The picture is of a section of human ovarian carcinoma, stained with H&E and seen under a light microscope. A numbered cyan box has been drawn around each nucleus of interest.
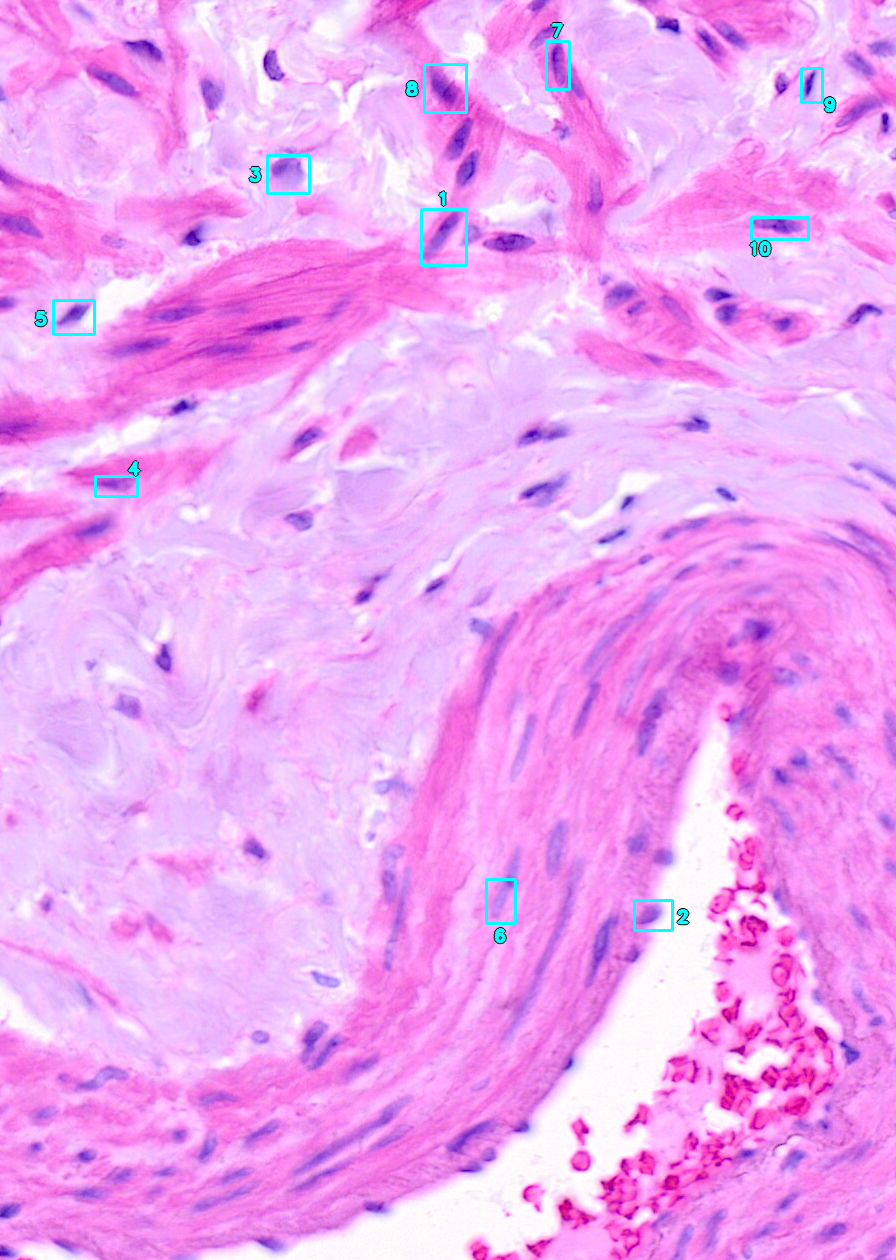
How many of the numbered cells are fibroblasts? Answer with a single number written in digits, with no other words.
3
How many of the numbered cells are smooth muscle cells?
6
